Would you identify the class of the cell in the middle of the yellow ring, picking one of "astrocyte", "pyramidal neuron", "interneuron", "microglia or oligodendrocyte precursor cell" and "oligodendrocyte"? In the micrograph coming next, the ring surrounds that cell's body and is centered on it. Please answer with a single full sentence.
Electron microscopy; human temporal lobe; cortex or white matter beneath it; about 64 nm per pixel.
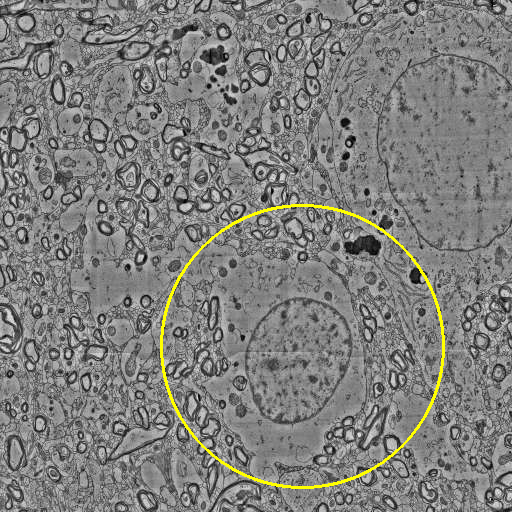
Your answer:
In the micrograph, it is an astrocyte whose body lies at the ring's center.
